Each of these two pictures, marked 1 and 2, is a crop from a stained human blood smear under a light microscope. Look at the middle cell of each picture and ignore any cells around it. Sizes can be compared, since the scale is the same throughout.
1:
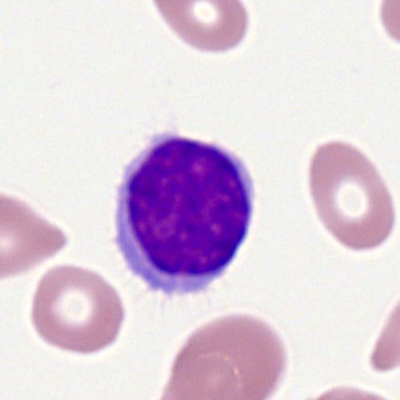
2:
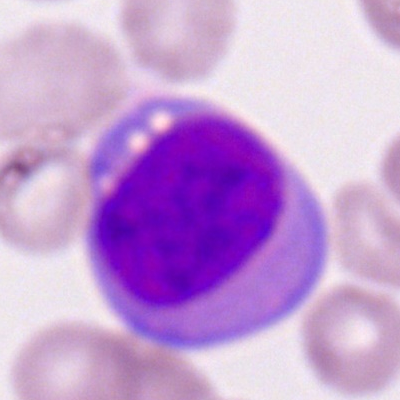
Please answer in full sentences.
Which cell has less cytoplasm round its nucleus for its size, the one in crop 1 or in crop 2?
It is the cell in crop 1 that is filled more by its nucleus.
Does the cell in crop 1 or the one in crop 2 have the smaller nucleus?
Smaller is the nucleus in crop 1, and the other is about 2 times as large in area.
